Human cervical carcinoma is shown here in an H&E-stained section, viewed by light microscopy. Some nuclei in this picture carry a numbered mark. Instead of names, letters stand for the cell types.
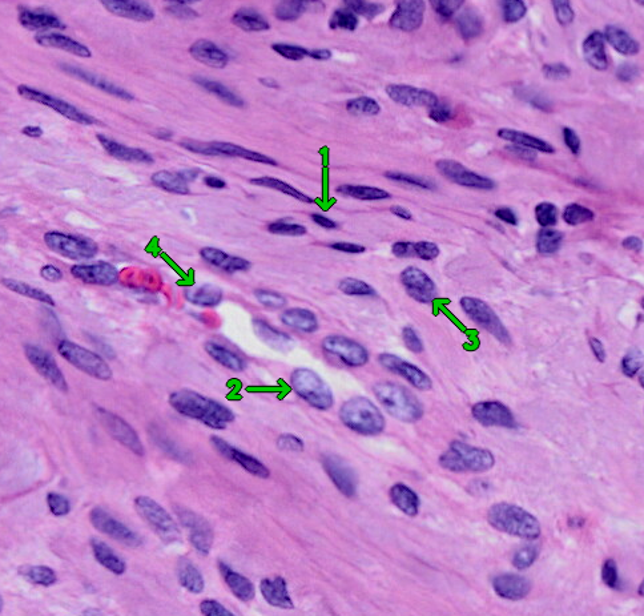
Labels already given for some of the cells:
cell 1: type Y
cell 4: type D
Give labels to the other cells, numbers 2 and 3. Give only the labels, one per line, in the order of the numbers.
type D
type Y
